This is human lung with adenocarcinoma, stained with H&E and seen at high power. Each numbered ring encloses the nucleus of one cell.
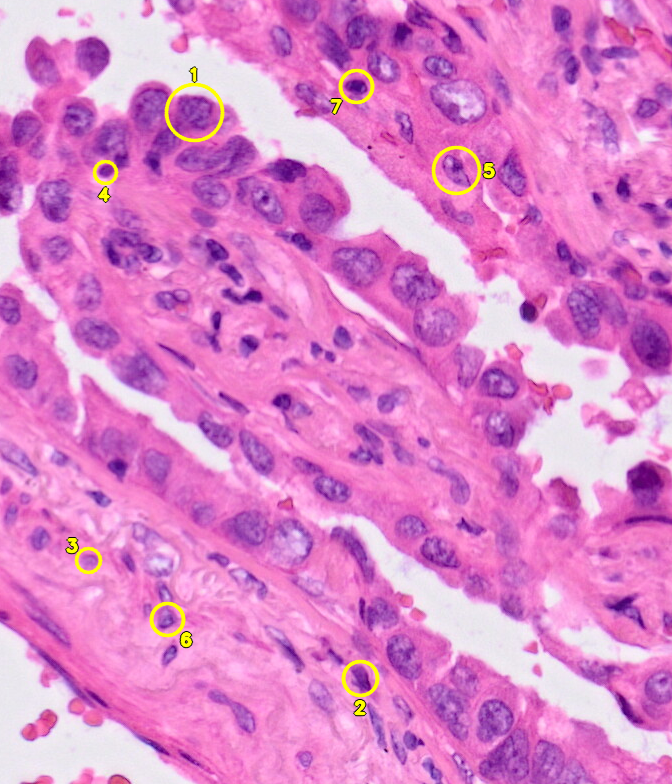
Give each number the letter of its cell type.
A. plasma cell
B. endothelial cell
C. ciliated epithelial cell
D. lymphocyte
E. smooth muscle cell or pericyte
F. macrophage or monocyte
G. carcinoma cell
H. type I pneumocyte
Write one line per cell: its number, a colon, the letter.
1: G
2: A
3: E
4: D
5: F
6: E
7: D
